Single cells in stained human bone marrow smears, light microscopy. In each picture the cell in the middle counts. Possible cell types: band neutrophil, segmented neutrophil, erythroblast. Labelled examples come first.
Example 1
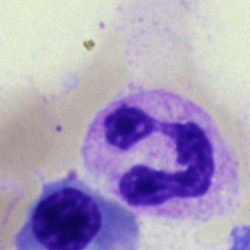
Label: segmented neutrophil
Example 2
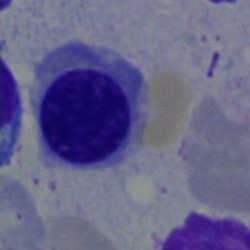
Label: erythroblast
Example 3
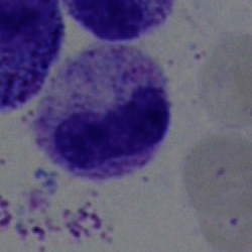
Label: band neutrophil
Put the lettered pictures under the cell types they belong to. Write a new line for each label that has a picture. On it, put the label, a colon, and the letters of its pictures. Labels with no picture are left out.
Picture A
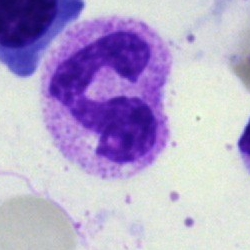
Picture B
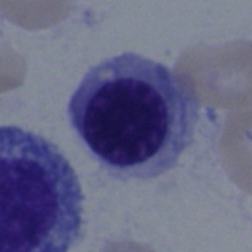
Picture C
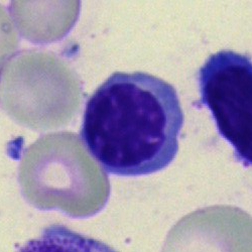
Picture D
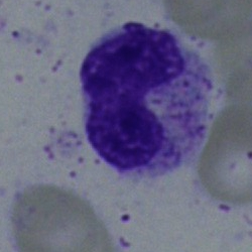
band neutrophil: D
segmented neutrophil: A
erythroblast: B, C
